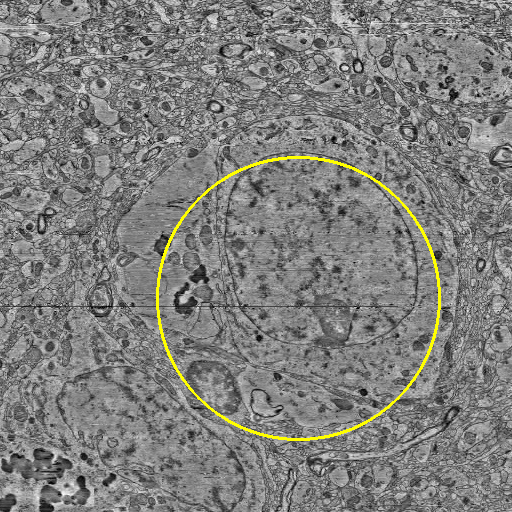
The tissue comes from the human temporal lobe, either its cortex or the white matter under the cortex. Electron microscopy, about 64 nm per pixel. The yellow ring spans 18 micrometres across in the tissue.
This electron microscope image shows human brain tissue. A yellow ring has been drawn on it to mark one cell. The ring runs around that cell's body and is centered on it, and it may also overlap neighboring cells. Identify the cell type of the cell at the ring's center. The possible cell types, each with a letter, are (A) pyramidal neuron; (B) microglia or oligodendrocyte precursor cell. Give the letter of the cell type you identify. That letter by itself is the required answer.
A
